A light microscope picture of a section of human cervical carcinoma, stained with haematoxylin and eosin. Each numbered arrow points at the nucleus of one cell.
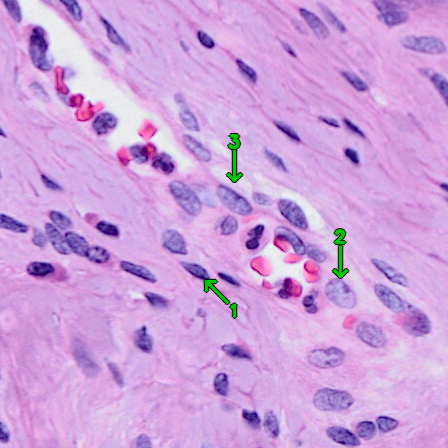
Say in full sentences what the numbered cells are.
Cell 1 is a fibroblast. Cells 2 and 3 are endothelial cells.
